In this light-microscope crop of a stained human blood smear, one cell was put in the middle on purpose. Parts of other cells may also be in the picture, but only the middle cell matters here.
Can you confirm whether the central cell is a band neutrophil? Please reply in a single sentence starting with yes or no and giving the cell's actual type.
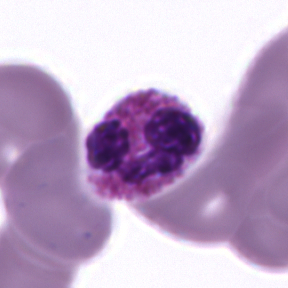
No, the cell under consideration is an eosinophil instead of a band neutrophil.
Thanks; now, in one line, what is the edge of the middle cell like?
Happy to help: the outline is smooth and shows no projections.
